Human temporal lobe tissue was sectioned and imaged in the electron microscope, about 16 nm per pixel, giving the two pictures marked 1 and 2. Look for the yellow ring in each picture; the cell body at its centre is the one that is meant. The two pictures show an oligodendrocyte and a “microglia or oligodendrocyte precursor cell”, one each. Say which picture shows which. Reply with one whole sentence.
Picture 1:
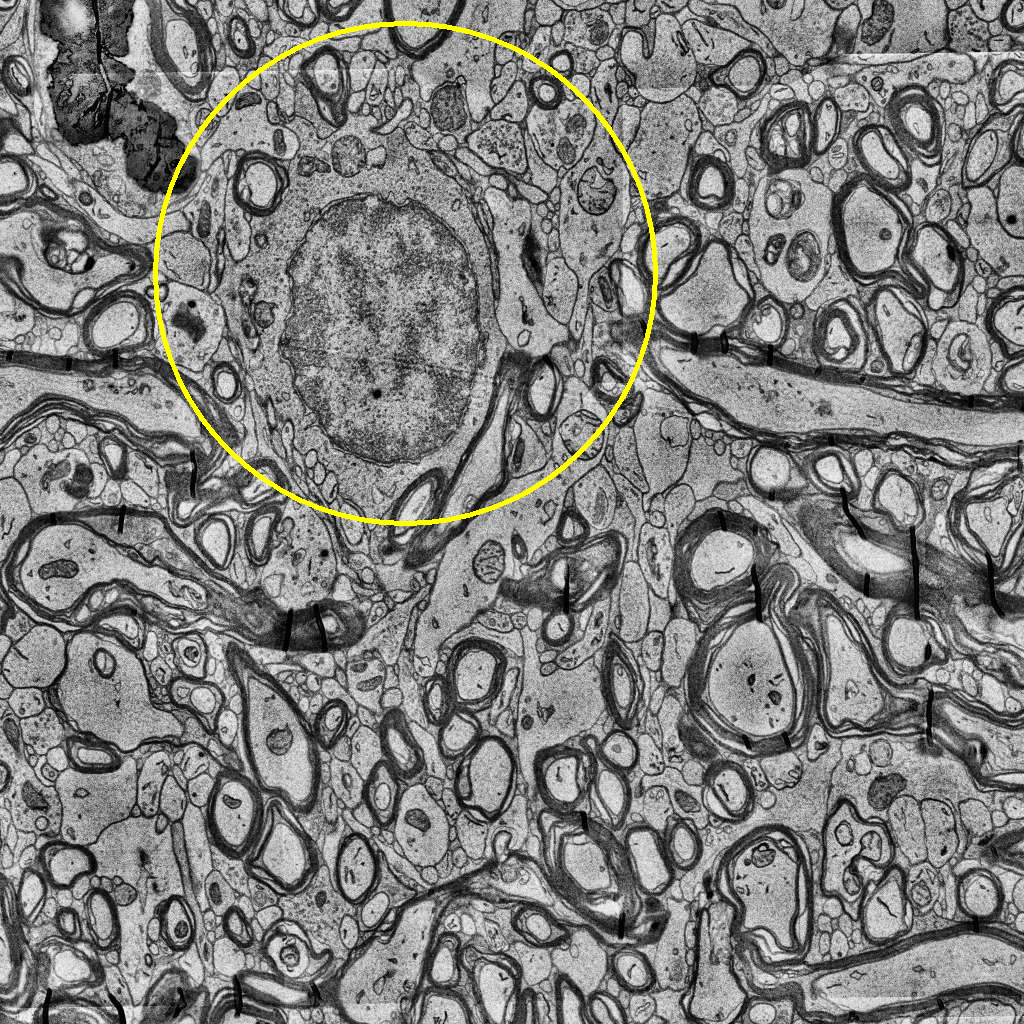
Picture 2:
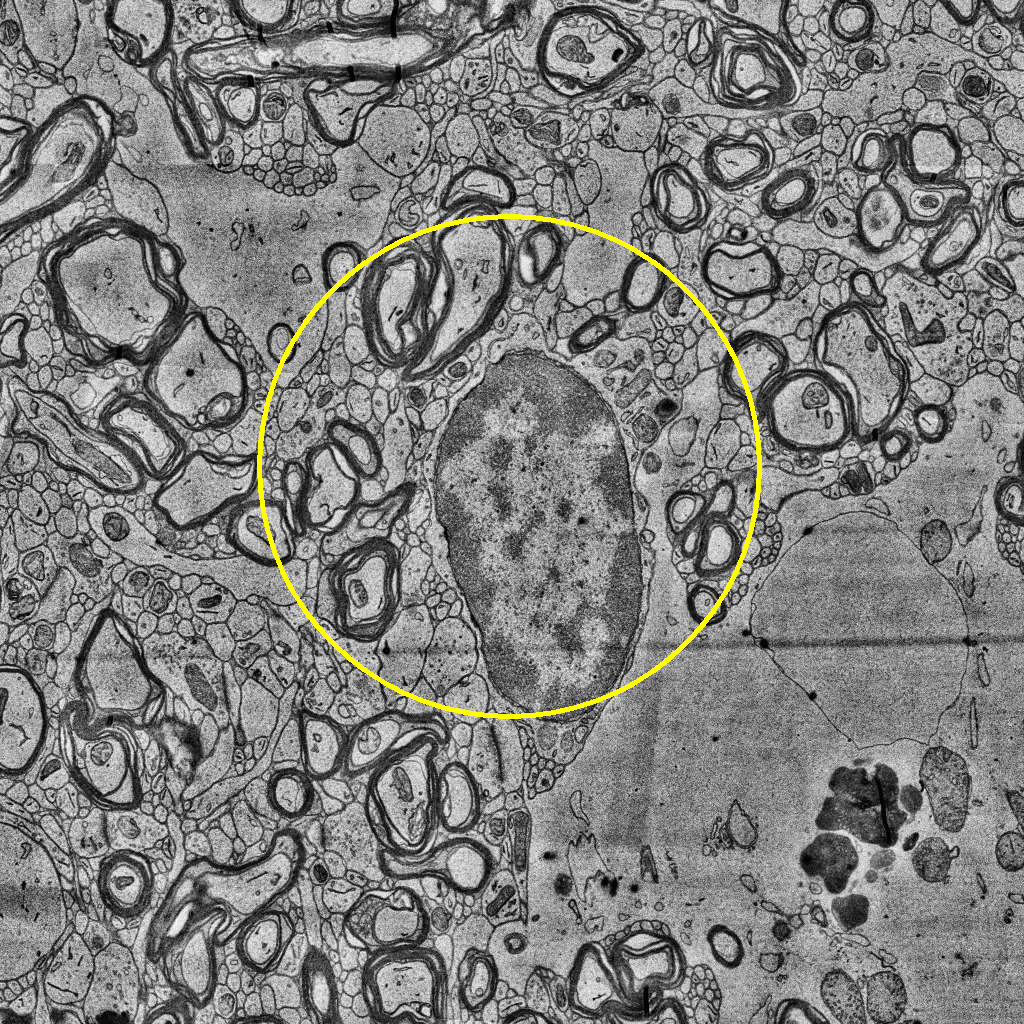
Picture 1 is of an oligodendrocyte, and picture 2 is of a “microglia or oligodendrocyte precursor cell”.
